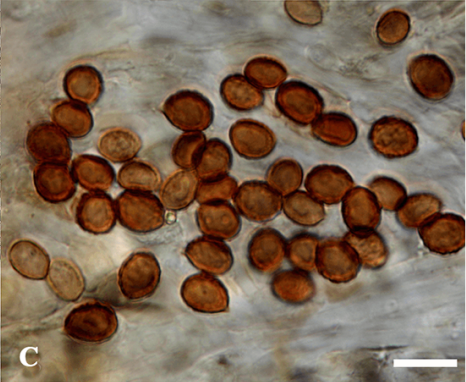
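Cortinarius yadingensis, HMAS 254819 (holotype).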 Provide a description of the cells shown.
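These are mushroom basidiospores, scattered oval to ellipsoid reddish-brown spores of similar size. Each has a darker brown rim around a somewhat paler interior, and some lie slightly out of focus, looking fainter.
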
